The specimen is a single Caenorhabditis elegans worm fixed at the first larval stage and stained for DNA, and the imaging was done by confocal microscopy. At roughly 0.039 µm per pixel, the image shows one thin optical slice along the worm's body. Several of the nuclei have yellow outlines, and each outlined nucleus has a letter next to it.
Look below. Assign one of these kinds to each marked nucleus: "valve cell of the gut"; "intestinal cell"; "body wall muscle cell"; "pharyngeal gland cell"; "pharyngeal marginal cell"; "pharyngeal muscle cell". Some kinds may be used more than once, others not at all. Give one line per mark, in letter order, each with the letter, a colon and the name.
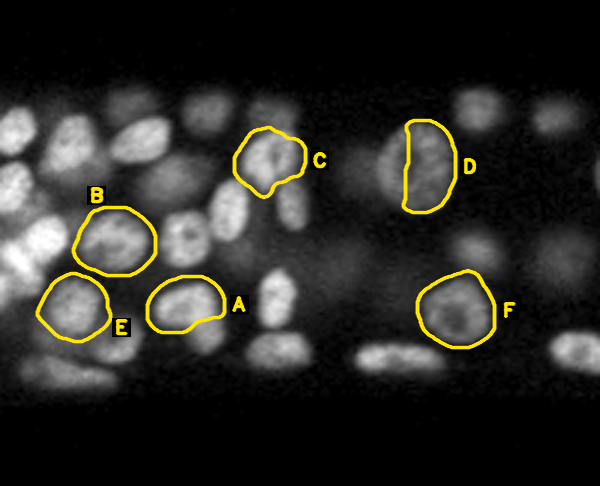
A: pharyngeal marginal cell
B: pharyngeal muscle cell
C: body wall muscle cell
D: intestinal cell
E: pharyngeal gland cell
F: intestinal cell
